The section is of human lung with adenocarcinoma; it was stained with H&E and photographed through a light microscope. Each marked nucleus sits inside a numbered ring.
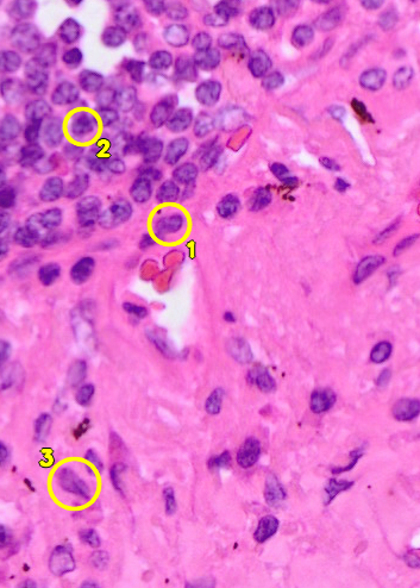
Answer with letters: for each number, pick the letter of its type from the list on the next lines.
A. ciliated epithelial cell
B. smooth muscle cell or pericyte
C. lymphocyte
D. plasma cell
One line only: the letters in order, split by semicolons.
C; C; D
